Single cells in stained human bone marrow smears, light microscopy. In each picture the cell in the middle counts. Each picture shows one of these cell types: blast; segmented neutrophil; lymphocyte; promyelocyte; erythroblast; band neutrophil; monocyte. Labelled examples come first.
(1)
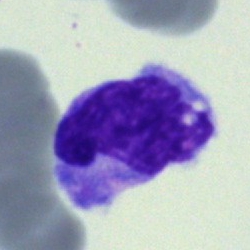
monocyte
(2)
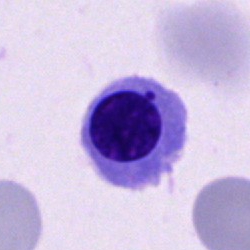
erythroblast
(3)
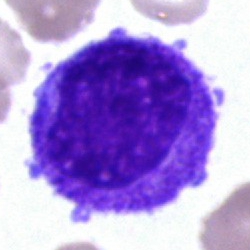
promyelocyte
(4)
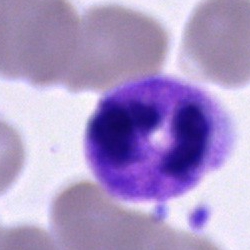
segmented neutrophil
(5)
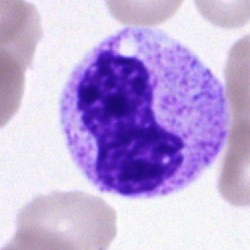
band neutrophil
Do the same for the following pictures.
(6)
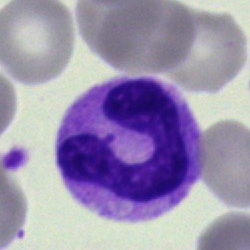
band neutrophil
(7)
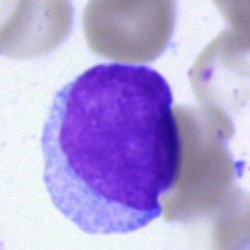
blast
